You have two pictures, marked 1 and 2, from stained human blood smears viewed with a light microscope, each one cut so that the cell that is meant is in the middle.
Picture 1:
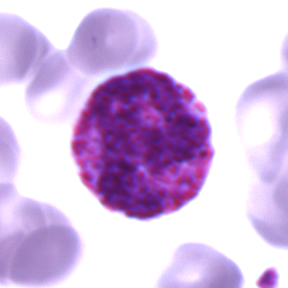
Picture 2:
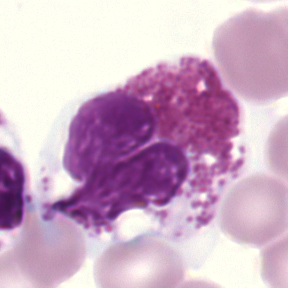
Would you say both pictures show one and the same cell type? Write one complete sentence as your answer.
No, picture 1 shows a basophil and picture 2 shows an eosinophil.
